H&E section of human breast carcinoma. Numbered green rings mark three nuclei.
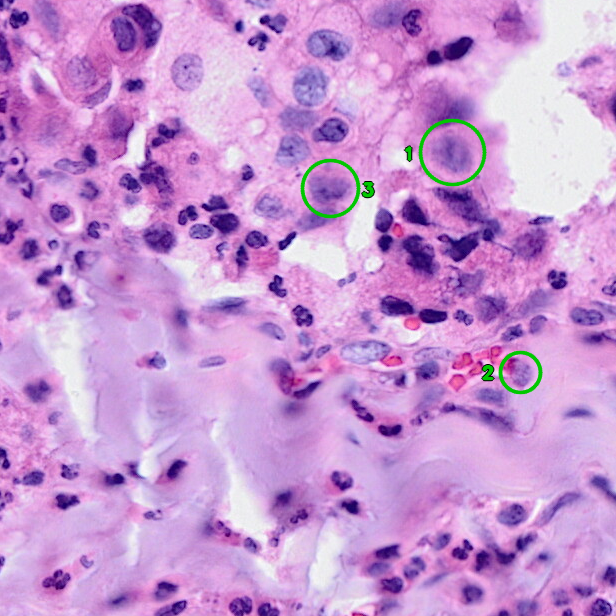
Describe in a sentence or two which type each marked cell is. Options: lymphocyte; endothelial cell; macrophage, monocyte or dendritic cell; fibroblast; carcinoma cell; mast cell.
Cell 1 is a carcinoma cell, cell 2 is an endothelial cell and cell 3 is a carcinoma cell.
